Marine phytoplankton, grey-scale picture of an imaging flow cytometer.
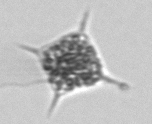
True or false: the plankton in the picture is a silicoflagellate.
True.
